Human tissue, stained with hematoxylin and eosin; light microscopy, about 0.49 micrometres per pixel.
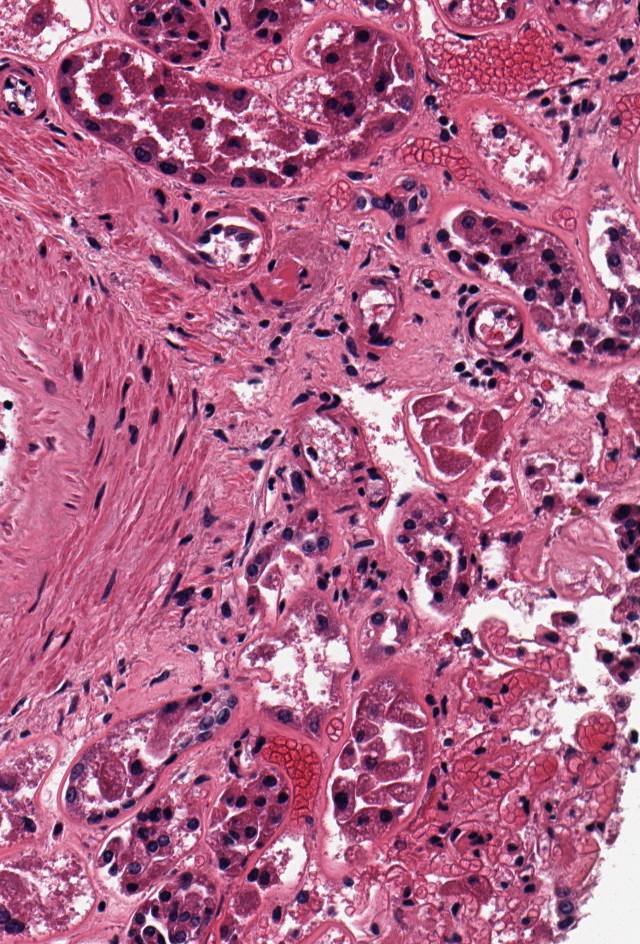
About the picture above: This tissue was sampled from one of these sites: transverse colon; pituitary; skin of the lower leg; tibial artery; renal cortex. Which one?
renal cortex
